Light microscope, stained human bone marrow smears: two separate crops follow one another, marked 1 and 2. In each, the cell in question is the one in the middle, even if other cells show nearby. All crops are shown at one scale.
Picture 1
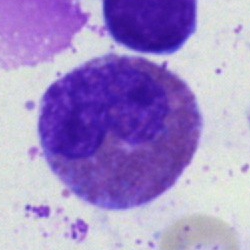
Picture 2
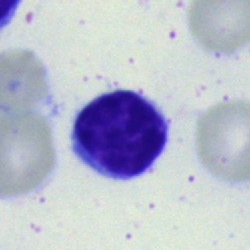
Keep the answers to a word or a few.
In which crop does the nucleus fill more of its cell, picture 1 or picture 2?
2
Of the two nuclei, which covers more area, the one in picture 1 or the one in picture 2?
1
